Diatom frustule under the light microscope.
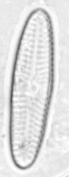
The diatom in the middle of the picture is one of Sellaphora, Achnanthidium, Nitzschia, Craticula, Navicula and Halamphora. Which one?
Sellaphora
